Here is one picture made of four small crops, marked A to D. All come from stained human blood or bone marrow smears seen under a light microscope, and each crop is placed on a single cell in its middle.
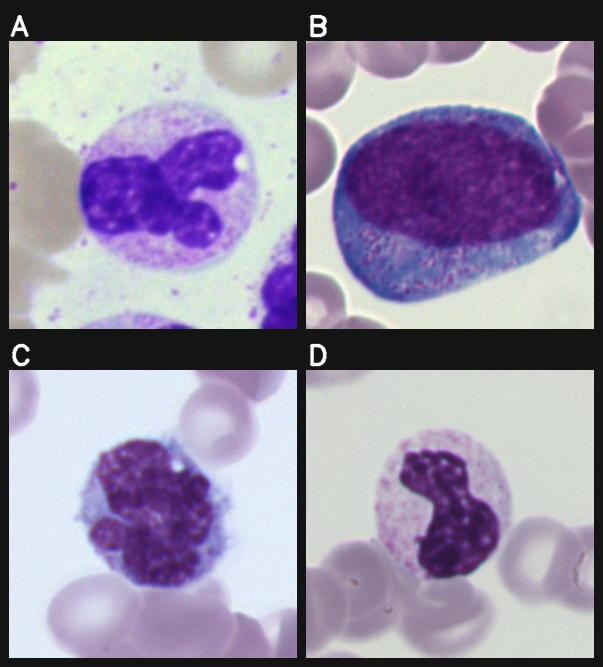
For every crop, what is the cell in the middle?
A: neutrophil
B: promyelocyte
C: monocyte
D: neutrophil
